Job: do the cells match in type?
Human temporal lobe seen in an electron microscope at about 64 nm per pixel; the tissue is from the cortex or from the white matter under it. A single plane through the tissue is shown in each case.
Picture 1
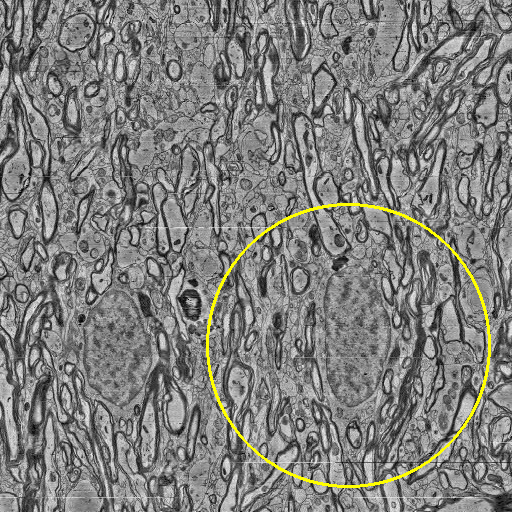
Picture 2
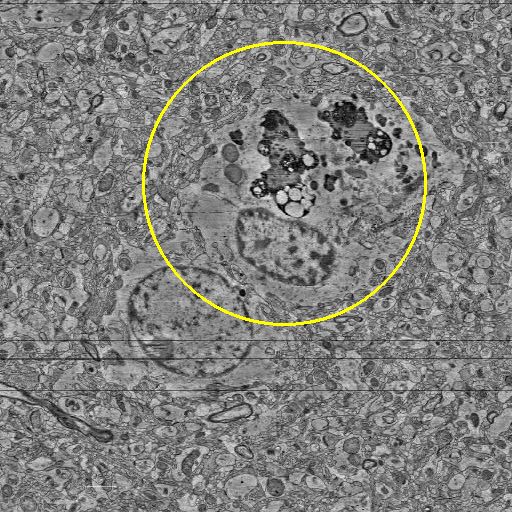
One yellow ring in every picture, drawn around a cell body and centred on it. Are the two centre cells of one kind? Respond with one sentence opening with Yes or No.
No, the ringed cells in the two pictures are of two separate kinds.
